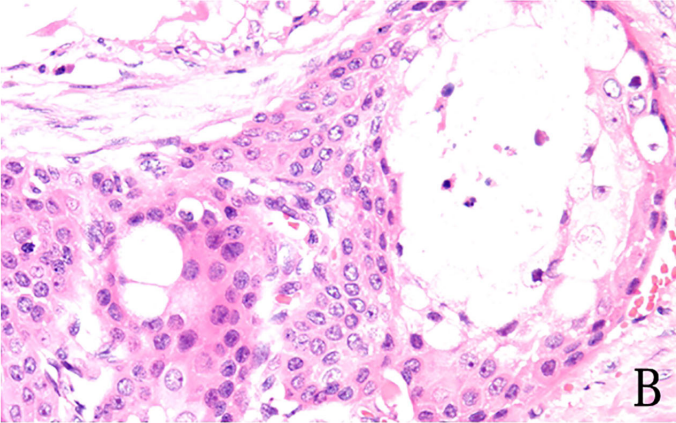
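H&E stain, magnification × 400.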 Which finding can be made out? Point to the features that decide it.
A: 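Sheets of polygonal cells with pink cytoplasm. A large pale mucin-filled space lined by cells with clear vacuolated cytoplasm. Small clear vacuoles within the cell sheet.
Mucoepidermoid carcinoma.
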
